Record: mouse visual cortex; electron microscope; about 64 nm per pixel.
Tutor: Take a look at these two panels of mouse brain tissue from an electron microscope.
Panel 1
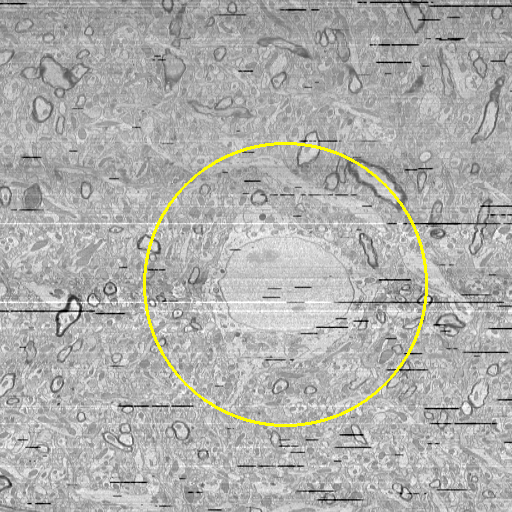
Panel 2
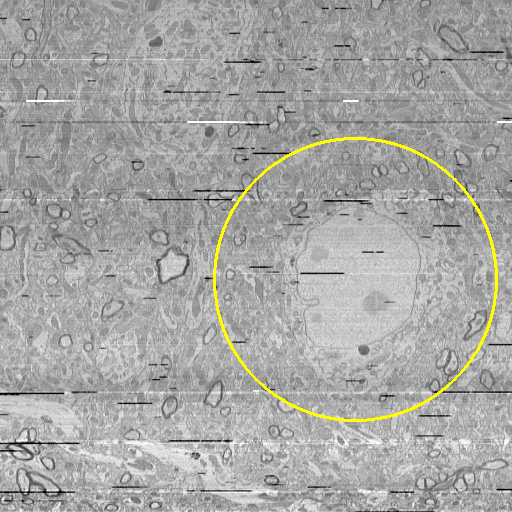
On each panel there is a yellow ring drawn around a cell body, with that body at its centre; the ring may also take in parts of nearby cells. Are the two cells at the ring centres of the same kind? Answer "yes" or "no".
yes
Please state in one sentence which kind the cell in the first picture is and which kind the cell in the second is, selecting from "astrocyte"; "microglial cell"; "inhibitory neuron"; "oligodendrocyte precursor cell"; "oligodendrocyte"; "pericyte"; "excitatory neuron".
The cell in the first picture is an excitatory neuron, and so is the one in the second.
